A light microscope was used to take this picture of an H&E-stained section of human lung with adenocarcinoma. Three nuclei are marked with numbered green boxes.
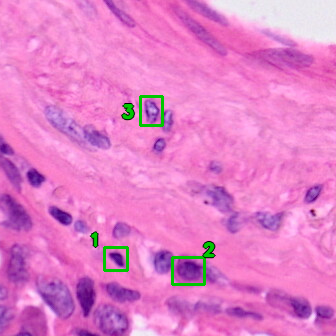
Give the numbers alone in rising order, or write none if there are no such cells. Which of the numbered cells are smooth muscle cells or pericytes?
3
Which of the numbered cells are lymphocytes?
1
